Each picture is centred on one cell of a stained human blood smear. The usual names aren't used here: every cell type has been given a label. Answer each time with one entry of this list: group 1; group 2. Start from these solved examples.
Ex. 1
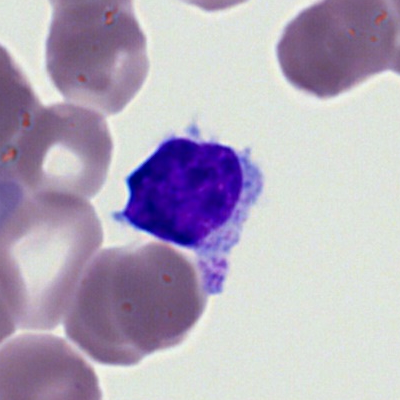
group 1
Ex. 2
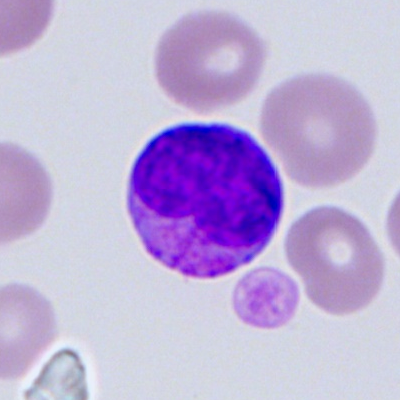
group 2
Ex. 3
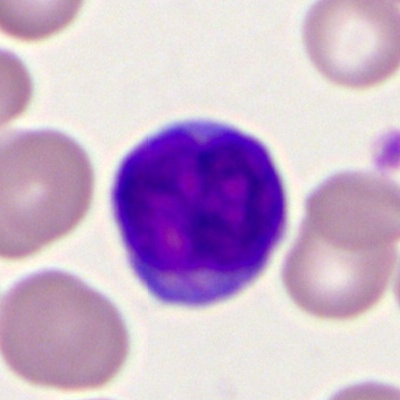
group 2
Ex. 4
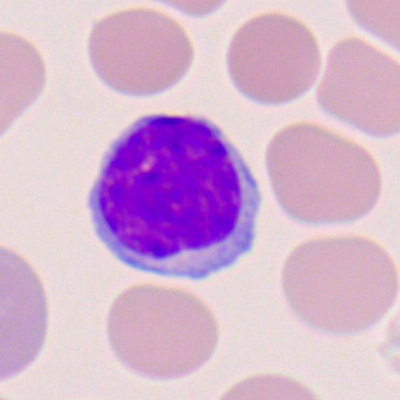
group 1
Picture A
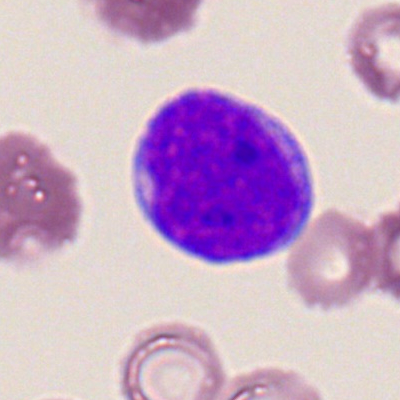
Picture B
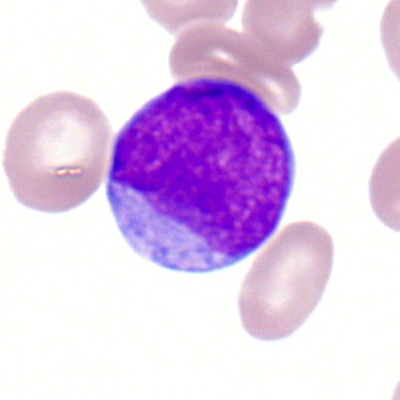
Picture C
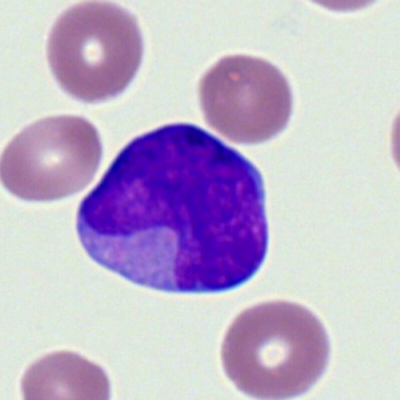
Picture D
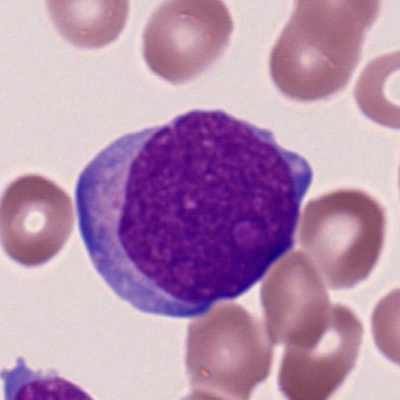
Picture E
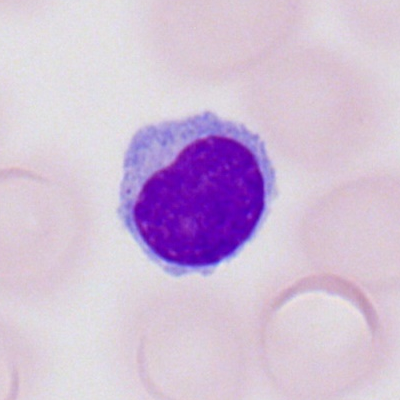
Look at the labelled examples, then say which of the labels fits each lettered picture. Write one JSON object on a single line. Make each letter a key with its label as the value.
{"A": "group 2", "B": "group 2", "C": "group 2", "D": "group 2", "E": "group 1"}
